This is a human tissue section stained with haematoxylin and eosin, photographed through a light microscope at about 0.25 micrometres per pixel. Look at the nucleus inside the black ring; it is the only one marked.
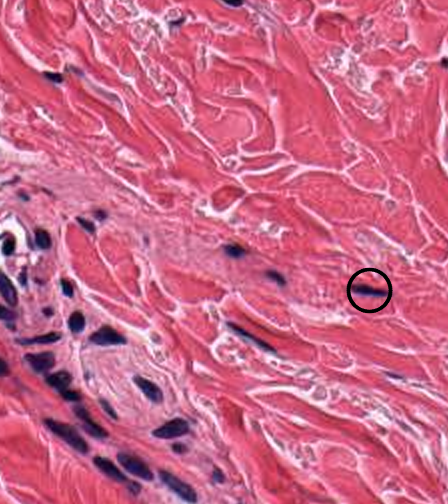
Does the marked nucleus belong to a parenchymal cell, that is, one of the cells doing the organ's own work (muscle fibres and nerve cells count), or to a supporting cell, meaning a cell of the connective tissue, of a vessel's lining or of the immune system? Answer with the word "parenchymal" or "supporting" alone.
supporting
